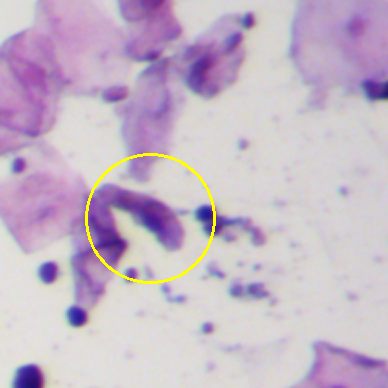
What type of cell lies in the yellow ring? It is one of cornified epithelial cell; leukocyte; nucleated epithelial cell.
The ringed cell is a cornified epithelial cell.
